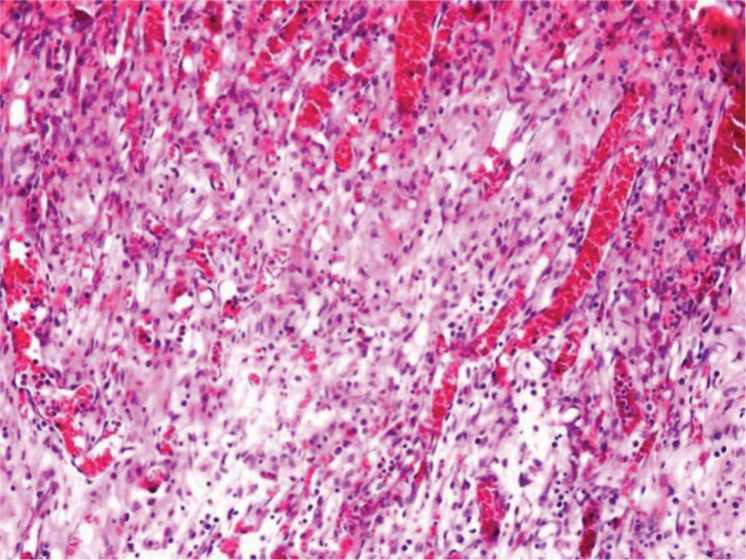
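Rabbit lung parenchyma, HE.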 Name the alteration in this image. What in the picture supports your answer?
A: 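Numerous small, elongated vessels run through the field. The vessels are packed with red-staining red blood cells. The vessels lie in a loose, pale pink, cell-rich stroma. So: neoangiogenesis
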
